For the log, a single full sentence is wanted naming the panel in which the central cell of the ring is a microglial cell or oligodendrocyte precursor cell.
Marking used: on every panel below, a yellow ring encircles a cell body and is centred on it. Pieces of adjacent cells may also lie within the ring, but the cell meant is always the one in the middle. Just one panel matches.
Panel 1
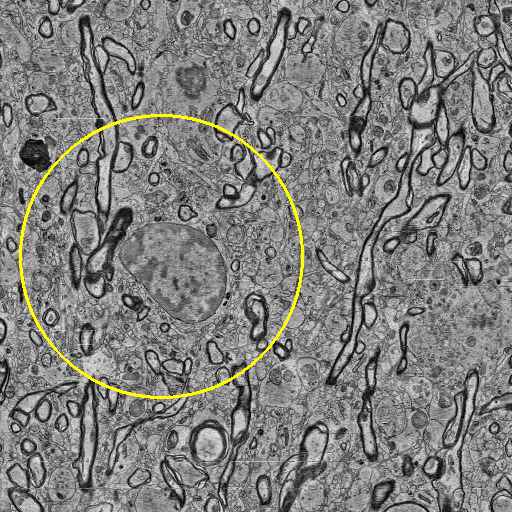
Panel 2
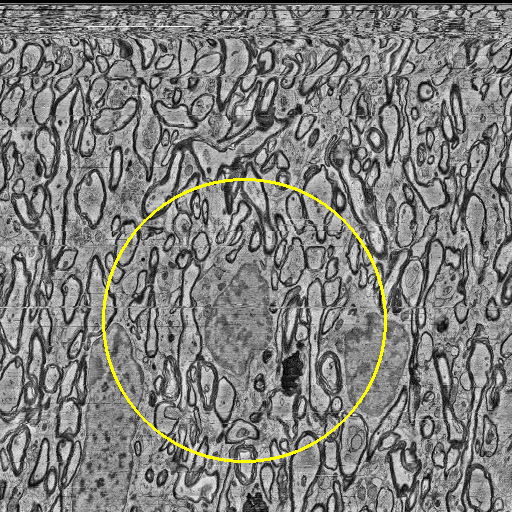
The cell in the middle of the ring in panel 1 is the one asked for.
